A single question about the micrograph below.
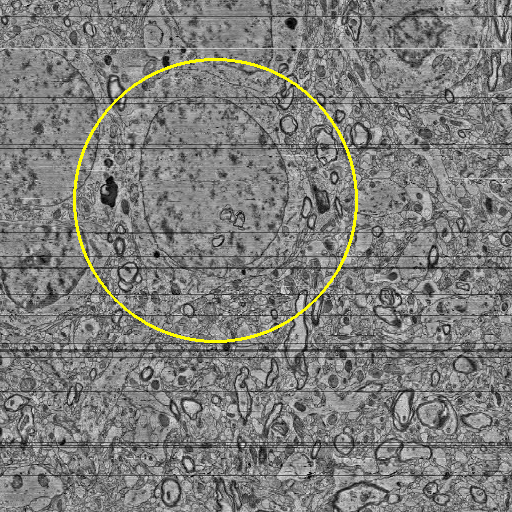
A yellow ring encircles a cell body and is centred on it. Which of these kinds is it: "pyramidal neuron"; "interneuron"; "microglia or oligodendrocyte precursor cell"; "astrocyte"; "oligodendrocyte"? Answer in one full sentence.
The cell body at the centre of the yellow ring belongs to a pyramidal neuron.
